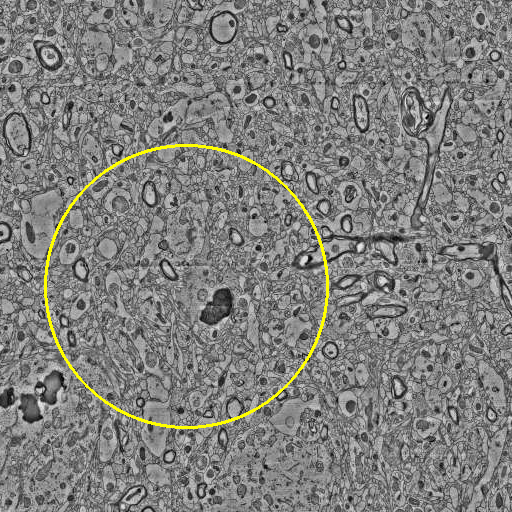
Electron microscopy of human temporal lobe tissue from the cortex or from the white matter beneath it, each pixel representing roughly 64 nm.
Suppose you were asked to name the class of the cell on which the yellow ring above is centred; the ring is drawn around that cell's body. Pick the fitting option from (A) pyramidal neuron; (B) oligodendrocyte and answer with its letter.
B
